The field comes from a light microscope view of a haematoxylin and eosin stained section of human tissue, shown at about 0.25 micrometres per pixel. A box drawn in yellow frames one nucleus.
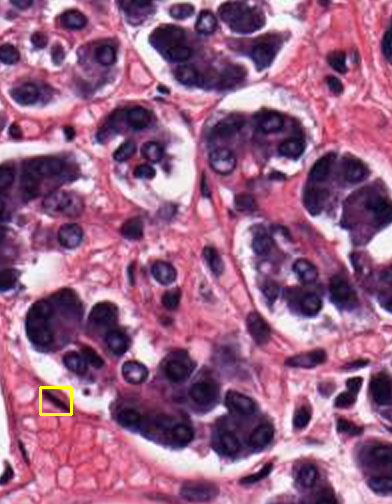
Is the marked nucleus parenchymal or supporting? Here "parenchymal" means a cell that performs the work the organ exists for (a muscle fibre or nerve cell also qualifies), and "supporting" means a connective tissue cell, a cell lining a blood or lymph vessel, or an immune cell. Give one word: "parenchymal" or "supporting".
supporting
